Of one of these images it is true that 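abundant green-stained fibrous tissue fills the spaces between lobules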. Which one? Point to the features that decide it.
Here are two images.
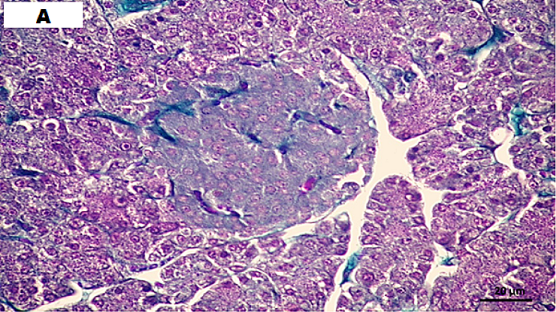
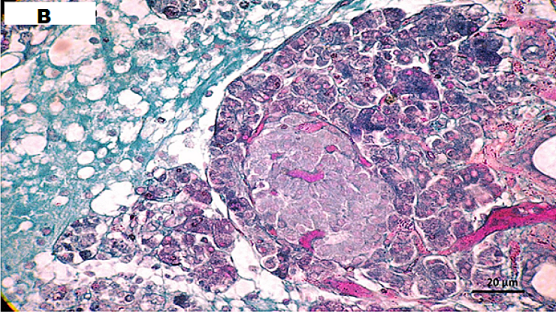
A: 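The second image. Second image: a broad band of green-stained fibrous tissue occupies much of the left side.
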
